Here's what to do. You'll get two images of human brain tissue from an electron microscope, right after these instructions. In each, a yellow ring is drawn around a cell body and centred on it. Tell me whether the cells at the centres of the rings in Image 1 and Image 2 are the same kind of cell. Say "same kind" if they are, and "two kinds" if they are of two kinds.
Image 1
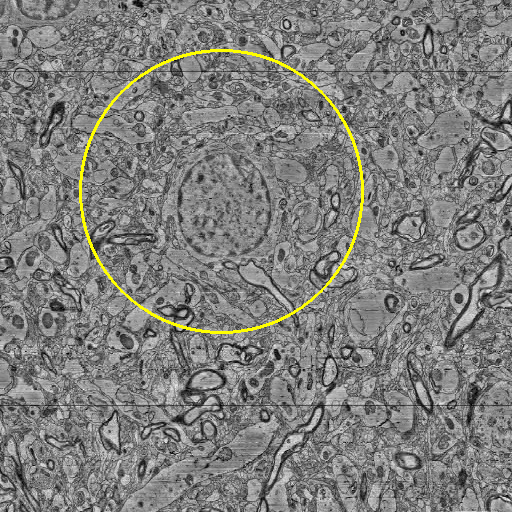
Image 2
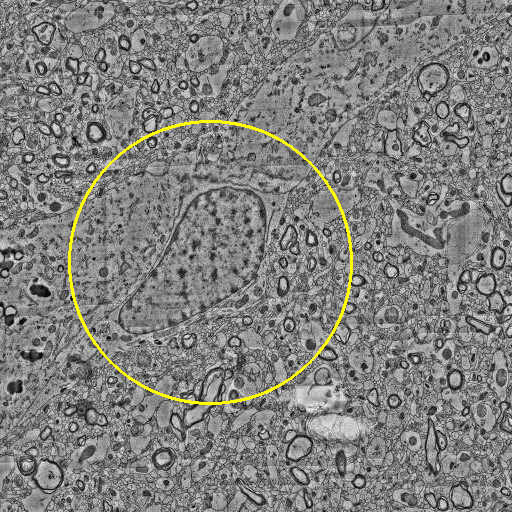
same kind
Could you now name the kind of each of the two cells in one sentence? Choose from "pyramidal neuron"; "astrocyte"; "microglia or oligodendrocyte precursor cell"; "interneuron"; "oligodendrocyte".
Each of the two cells is a microglial cell or oligodendrocyte precursor cell.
